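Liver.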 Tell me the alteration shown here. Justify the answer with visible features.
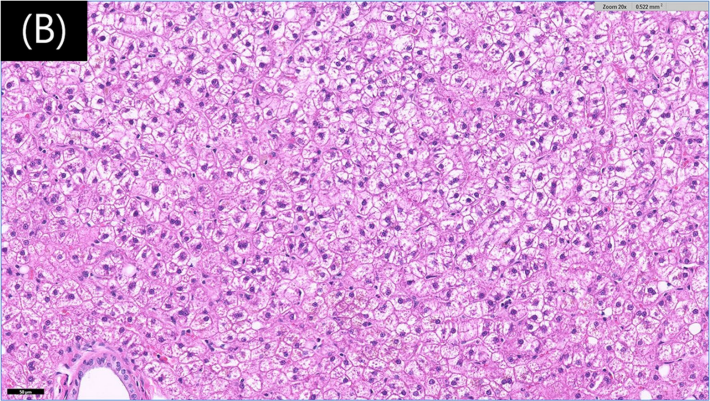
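Vacuolar hepatopathy. Hepatocytes have pale, wispy, cleared cytoplasm. Distinct cell membranes outline each swollen cell.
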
